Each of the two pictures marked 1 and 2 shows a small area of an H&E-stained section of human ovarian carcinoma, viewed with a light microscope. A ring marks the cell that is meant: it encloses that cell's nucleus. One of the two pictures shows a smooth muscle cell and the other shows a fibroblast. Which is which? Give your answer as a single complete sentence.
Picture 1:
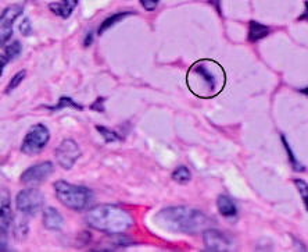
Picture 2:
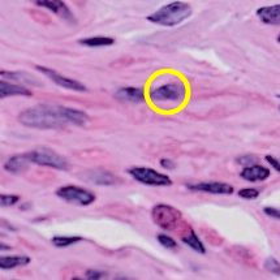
It is picture 1 that shows a fibroblast, and picture 2 that shows a smooth muscle cell.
